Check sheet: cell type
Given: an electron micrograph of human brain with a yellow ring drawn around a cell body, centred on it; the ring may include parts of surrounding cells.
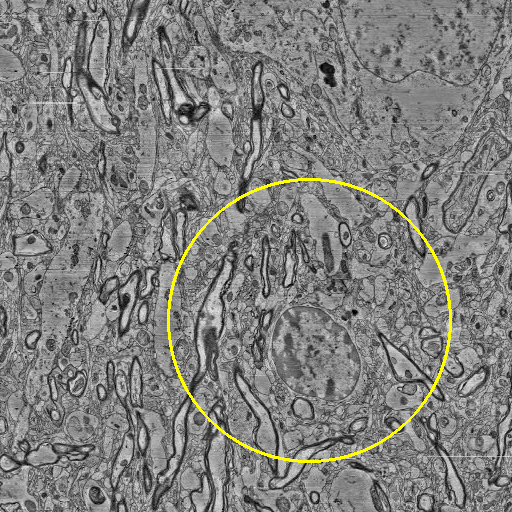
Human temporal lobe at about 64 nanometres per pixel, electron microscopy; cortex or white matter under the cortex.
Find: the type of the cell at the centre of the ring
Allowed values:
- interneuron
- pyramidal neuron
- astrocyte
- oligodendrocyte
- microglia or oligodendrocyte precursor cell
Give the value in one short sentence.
Here the ringed cell is a microglial cell or oligodendrocyte precursor cell.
